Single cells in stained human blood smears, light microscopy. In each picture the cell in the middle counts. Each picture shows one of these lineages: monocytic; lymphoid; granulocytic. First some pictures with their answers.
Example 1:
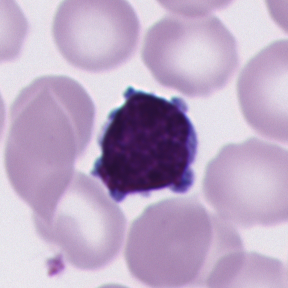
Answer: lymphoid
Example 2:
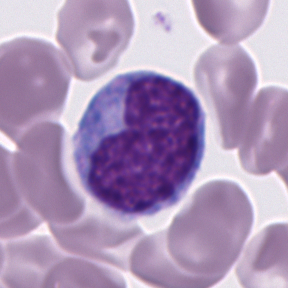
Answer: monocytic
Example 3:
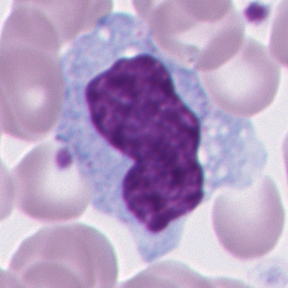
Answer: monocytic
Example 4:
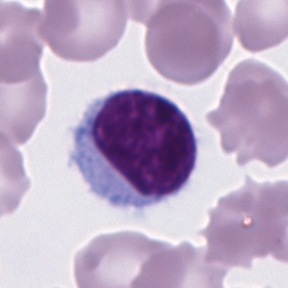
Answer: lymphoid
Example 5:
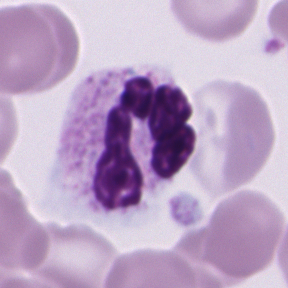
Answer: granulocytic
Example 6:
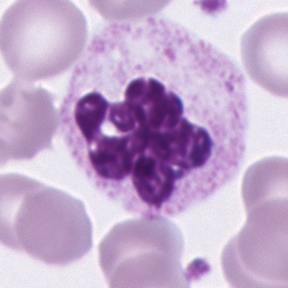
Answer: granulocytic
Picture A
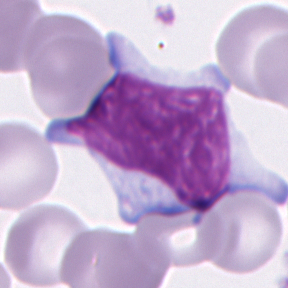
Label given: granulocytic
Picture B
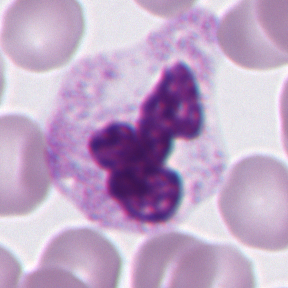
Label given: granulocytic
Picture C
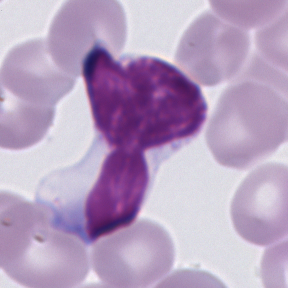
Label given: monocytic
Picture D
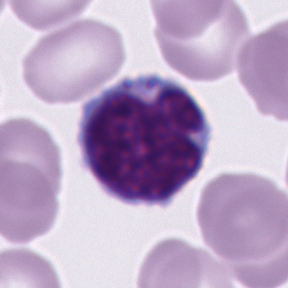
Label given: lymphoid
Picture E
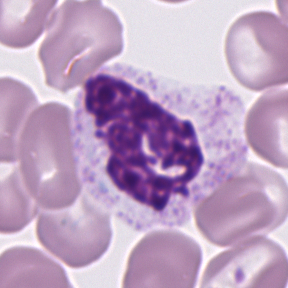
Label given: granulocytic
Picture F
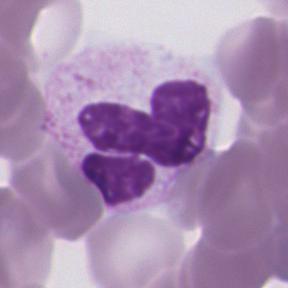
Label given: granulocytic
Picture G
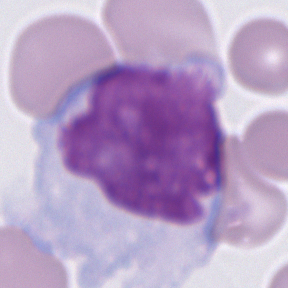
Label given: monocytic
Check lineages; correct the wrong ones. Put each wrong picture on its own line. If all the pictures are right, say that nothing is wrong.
A is labelled granulocytic; correct label: lymphoid
C is labelled monocytic; correct label: lymphoid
